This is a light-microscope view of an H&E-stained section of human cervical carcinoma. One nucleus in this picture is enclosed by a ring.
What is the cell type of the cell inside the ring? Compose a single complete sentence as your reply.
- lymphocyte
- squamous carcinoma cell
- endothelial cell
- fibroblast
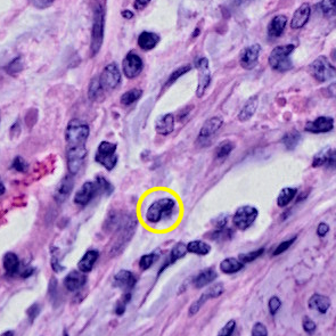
It is as a lymphocyte that the cell inside the ring is recorded.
